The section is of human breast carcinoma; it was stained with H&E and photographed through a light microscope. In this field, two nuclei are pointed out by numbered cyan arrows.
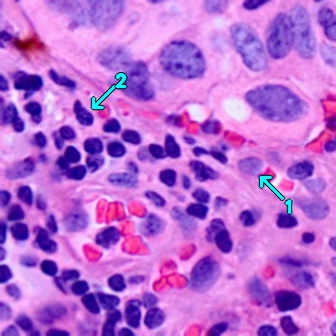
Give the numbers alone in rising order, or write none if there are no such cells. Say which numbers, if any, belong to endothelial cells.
1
